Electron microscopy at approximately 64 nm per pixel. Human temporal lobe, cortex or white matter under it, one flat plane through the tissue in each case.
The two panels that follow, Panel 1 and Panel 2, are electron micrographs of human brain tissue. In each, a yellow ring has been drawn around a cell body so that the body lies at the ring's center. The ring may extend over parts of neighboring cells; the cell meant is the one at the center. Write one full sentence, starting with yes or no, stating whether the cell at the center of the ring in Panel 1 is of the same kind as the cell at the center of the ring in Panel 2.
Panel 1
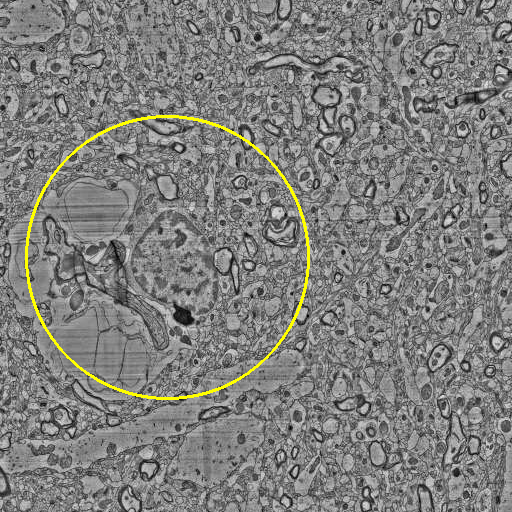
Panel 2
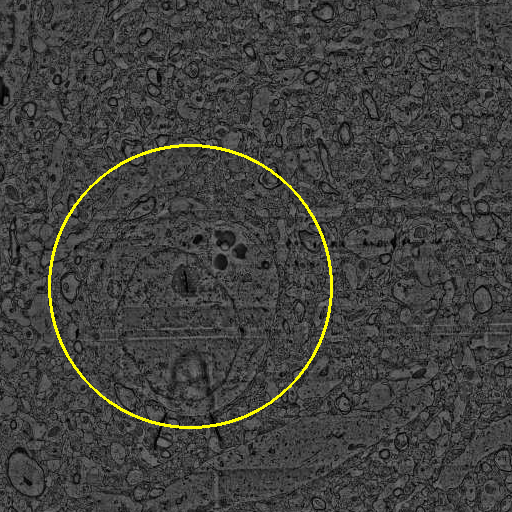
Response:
No, the cells in the two panels are of two kinds.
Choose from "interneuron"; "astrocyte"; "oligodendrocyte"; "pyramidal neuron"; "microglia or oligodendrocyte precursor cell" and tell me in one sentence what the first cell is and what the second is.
What the first ring is centred on is an oligodendrocyte; what the second ring is centred on is a pyramidal neuron.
